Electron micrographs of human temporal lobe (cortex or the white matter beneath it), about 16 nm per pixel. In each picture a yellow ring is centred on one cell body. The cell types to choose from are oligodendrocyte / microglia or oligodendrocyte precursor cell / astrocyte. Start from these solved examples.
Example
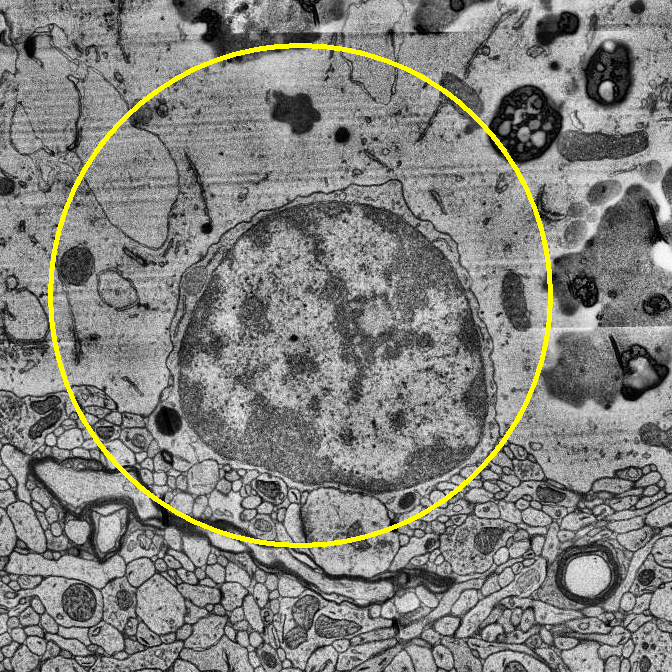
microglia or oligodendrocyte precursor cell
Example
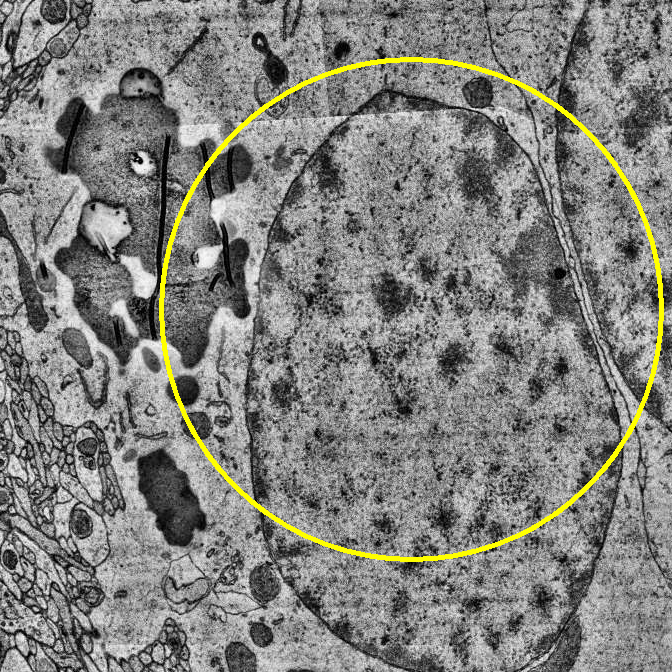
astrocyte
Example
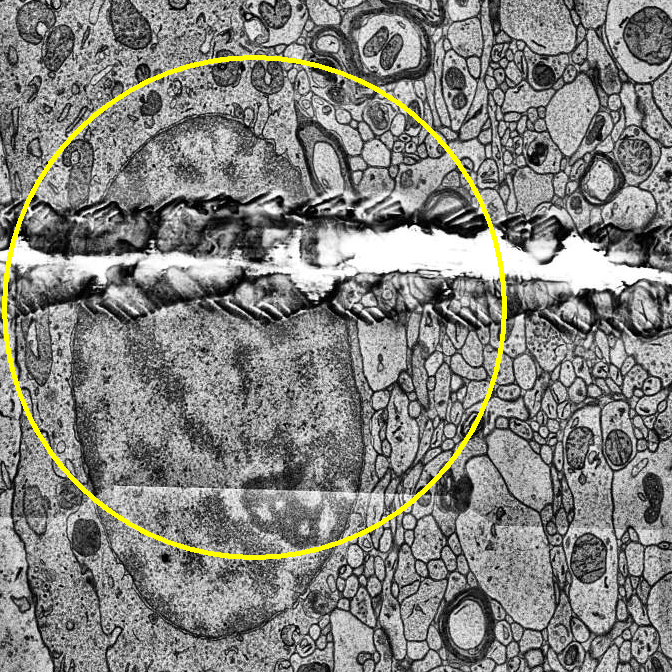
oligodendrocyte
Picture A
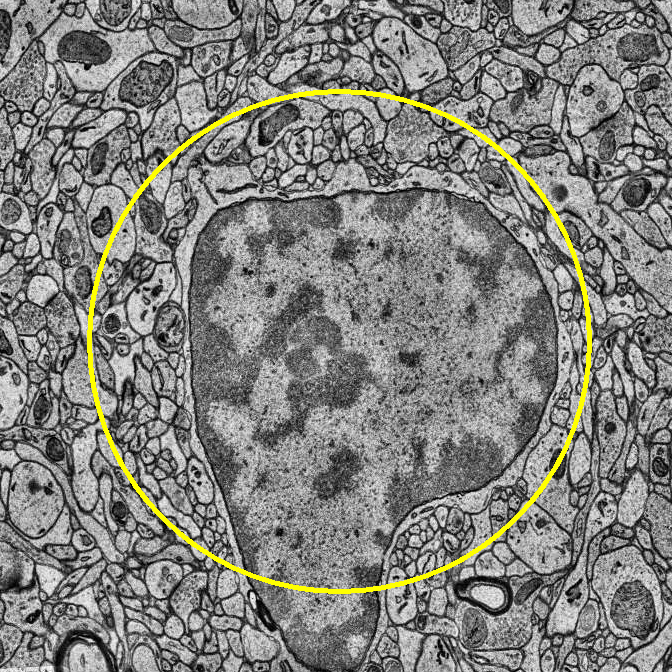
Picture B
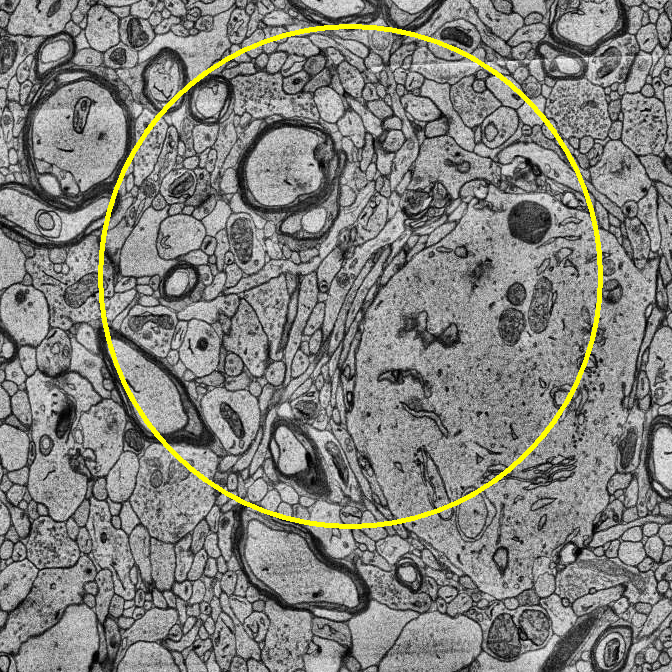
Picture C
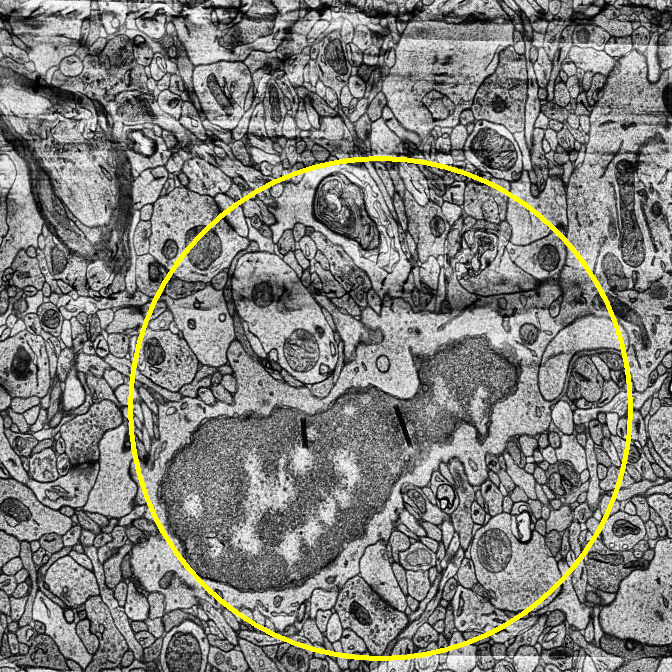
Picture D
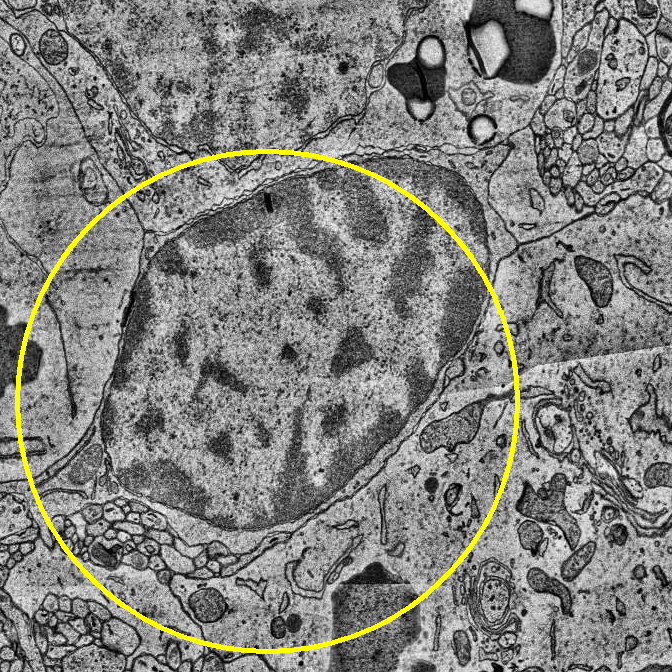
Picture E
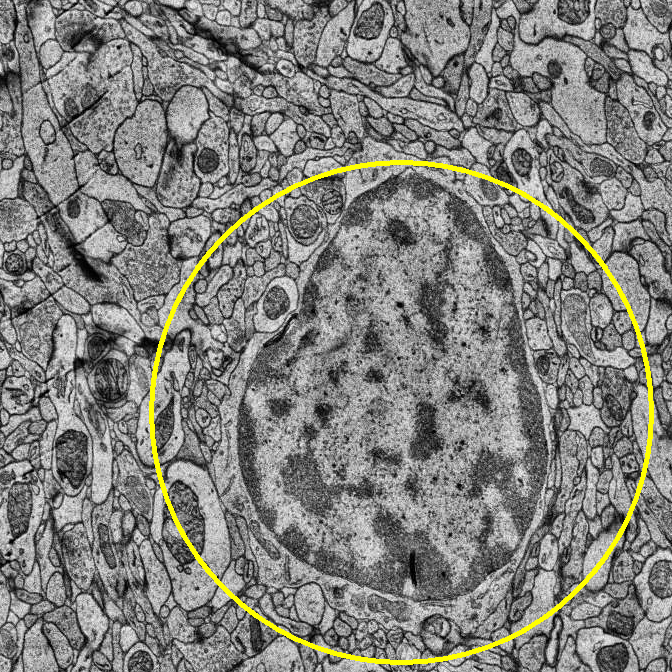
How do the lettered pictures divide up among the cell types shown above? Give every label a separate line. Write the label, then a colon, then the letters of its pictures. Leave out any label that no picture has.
microglia or oligodendrocyte precursor cell: A, B, C, D, E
